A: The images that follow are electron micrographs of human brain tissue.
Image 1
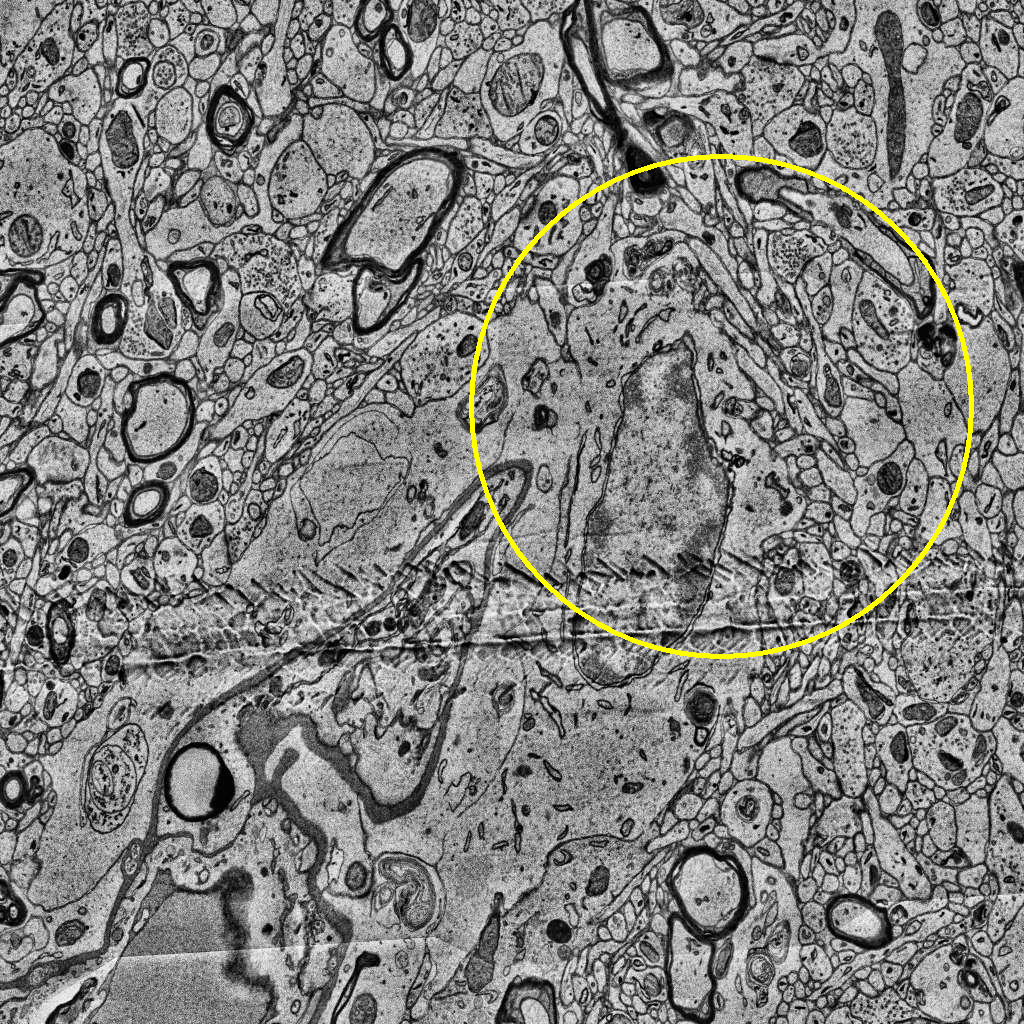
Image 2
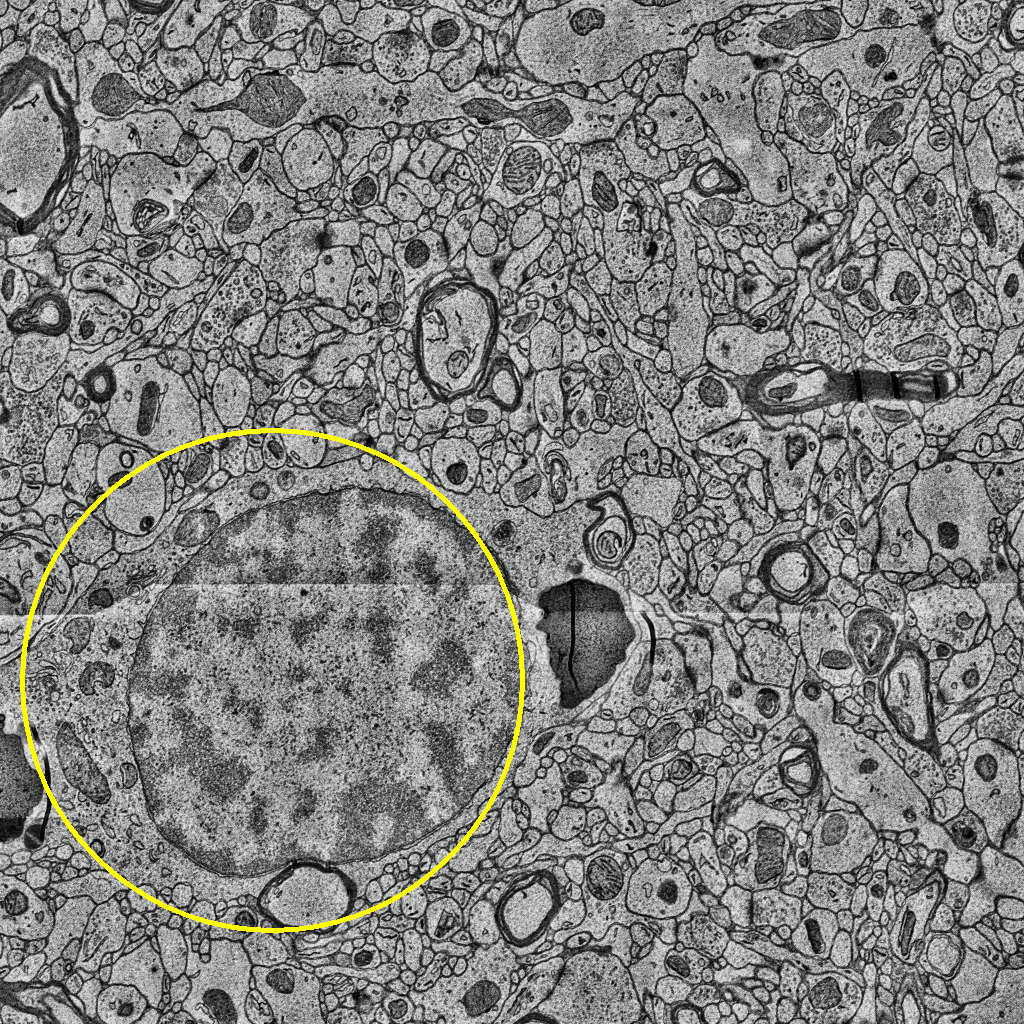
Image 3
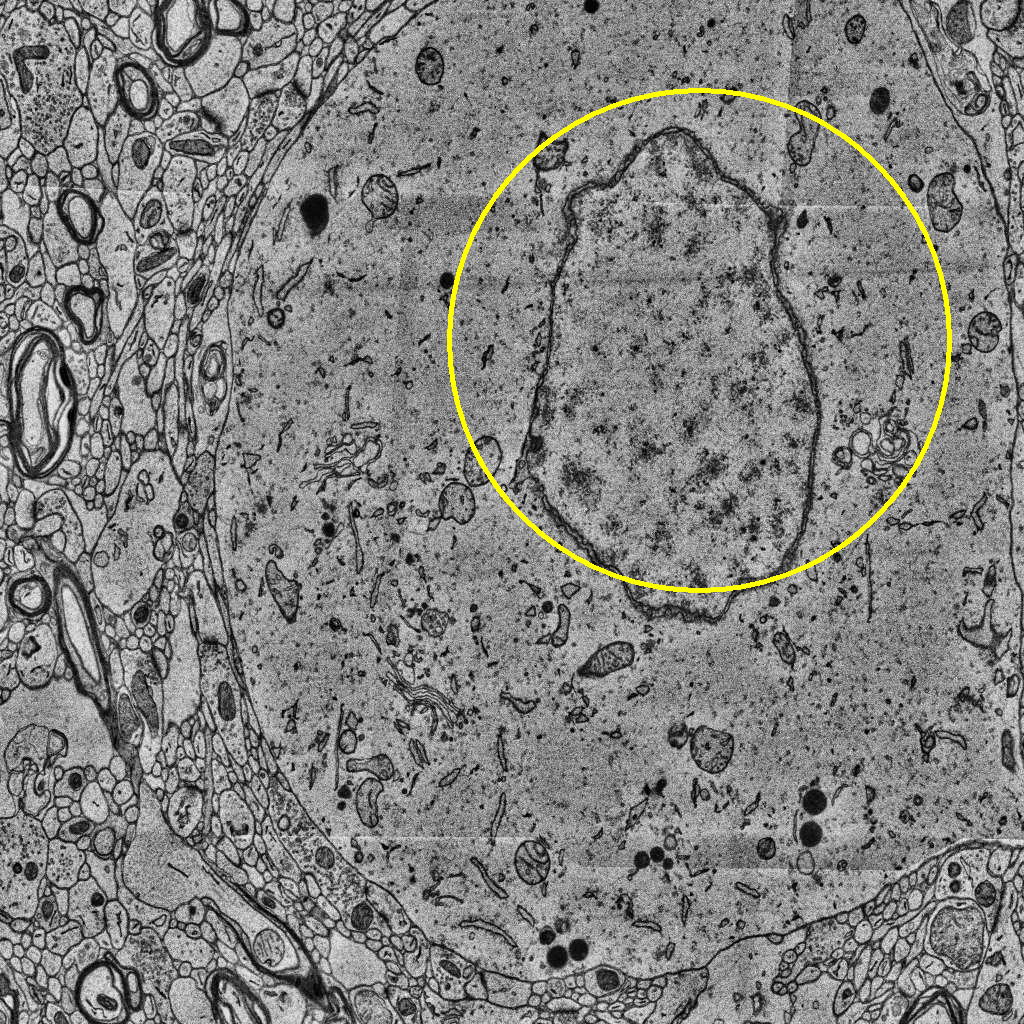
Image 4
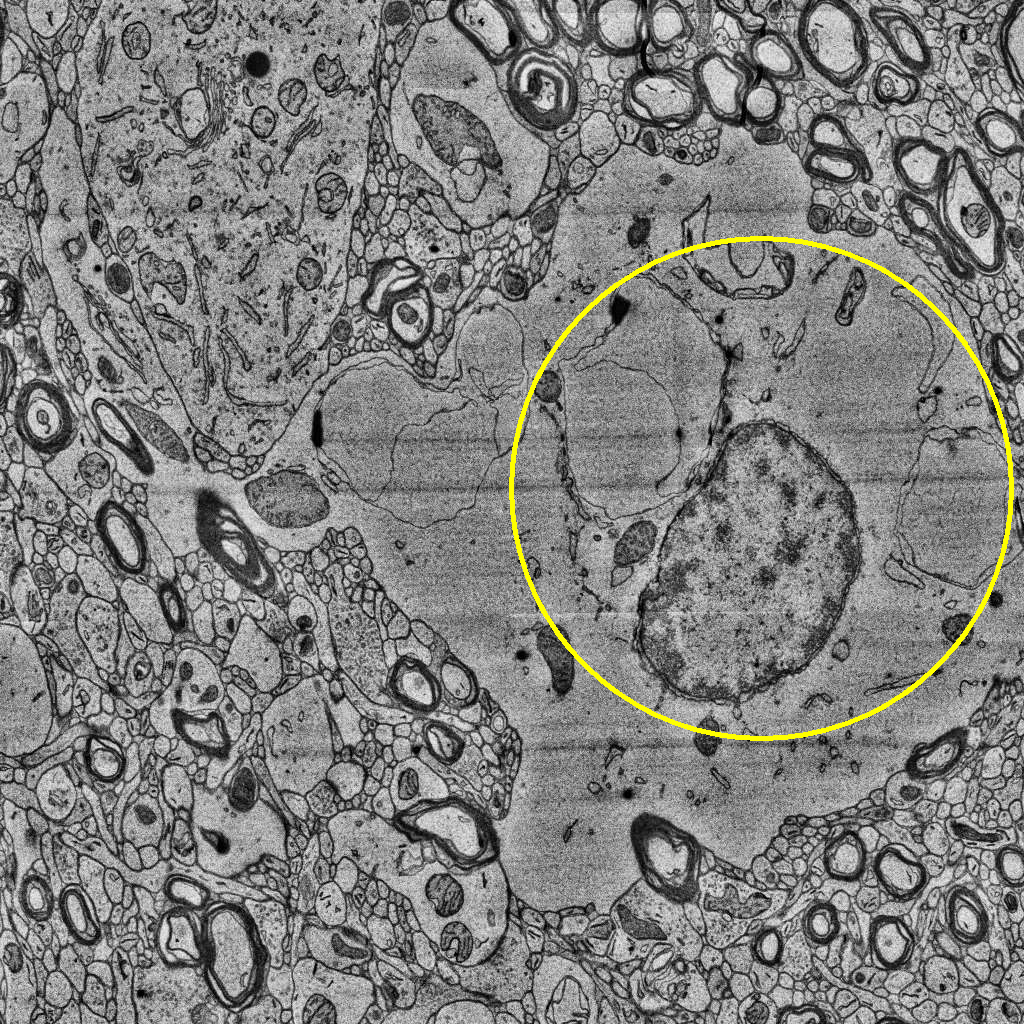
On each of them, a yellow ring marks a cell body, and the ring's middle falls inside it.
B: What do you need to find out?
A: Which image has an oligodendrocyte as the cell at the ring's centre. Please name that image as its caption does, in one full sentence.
Image 2 is the one whose ring has its centre inside the sought cell.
